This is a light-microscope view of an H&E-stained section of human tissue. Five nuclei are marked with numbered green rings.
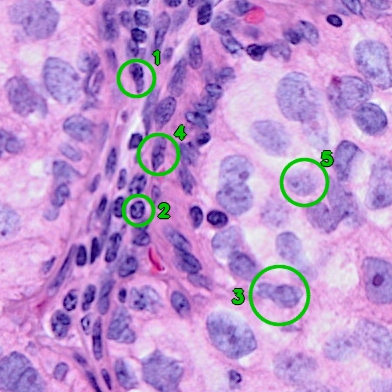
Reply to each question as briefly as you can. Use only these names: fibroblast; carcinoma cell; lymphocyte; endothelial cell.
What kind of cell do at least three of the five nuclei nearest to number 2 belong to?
endothelial cell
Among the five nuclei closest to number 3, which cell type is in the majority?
carcinoma cell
